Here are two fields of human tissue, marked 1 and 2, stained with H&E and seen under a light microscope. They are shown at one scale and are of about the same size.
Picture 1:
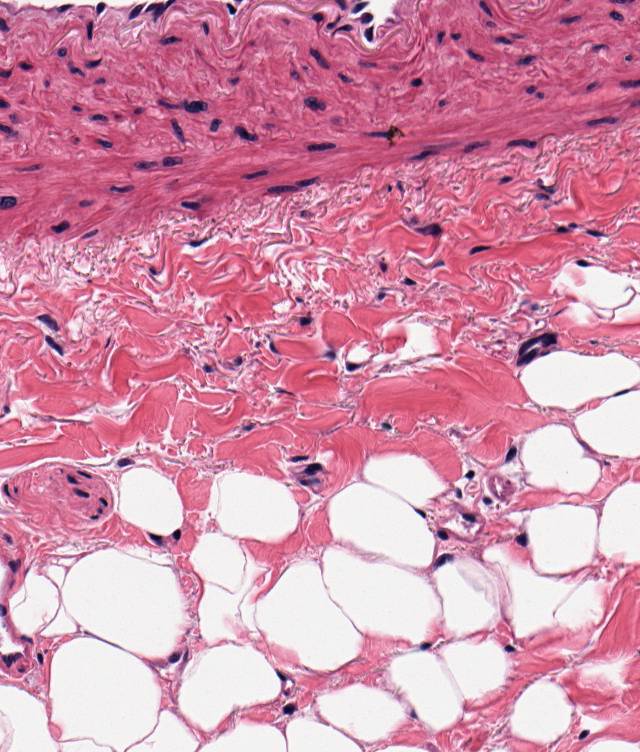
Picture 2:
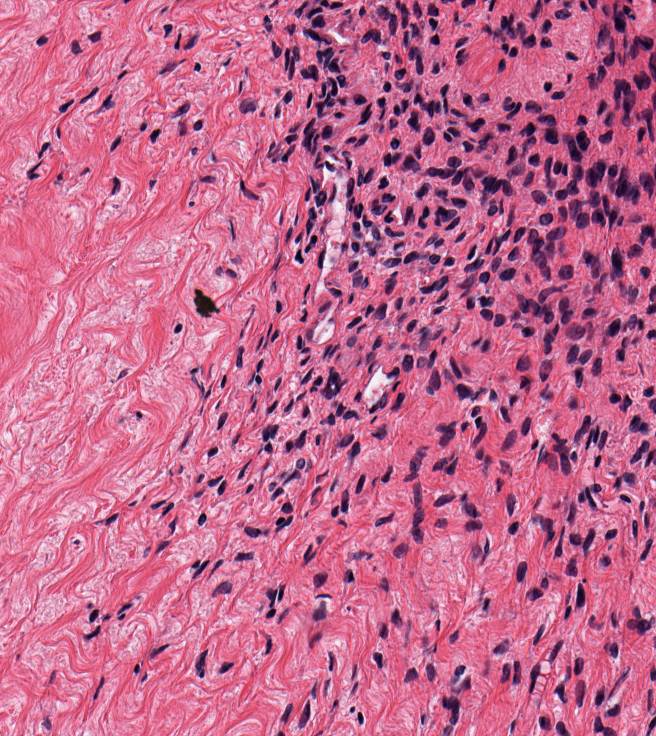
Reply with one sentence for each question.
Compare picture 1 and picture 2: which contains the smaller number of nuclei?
The smaller number of nuclei is in picture 1.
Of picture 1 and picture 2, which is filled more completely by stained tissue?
It is picture 2 that stained tissue fills more completely.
